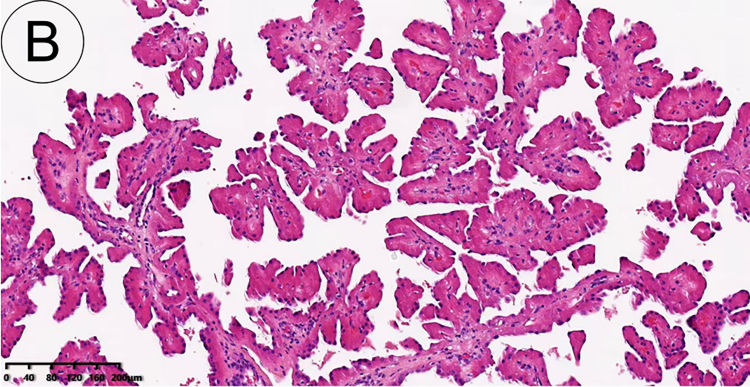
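Branching papillary fronds of a tumour are lined by a single layer of cuboidal to columnar cells with abundant bright pink cytoplasm. The small, round, fairly uniform nuclei sit at the outer free surface of the cells rather than near the base, so a row of dark nuclei rims each frond on its outside. The fronds have slender cores of paler fibrous stroma containing spindle-shaped nuclei and small vessels with red blood cells. Clear spaces separate the fronds. This is a papillary tumour with a fibrovascular core, lined by a monolayer of eosinophilic cells with nuclei displaced away from the basement membrane.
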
